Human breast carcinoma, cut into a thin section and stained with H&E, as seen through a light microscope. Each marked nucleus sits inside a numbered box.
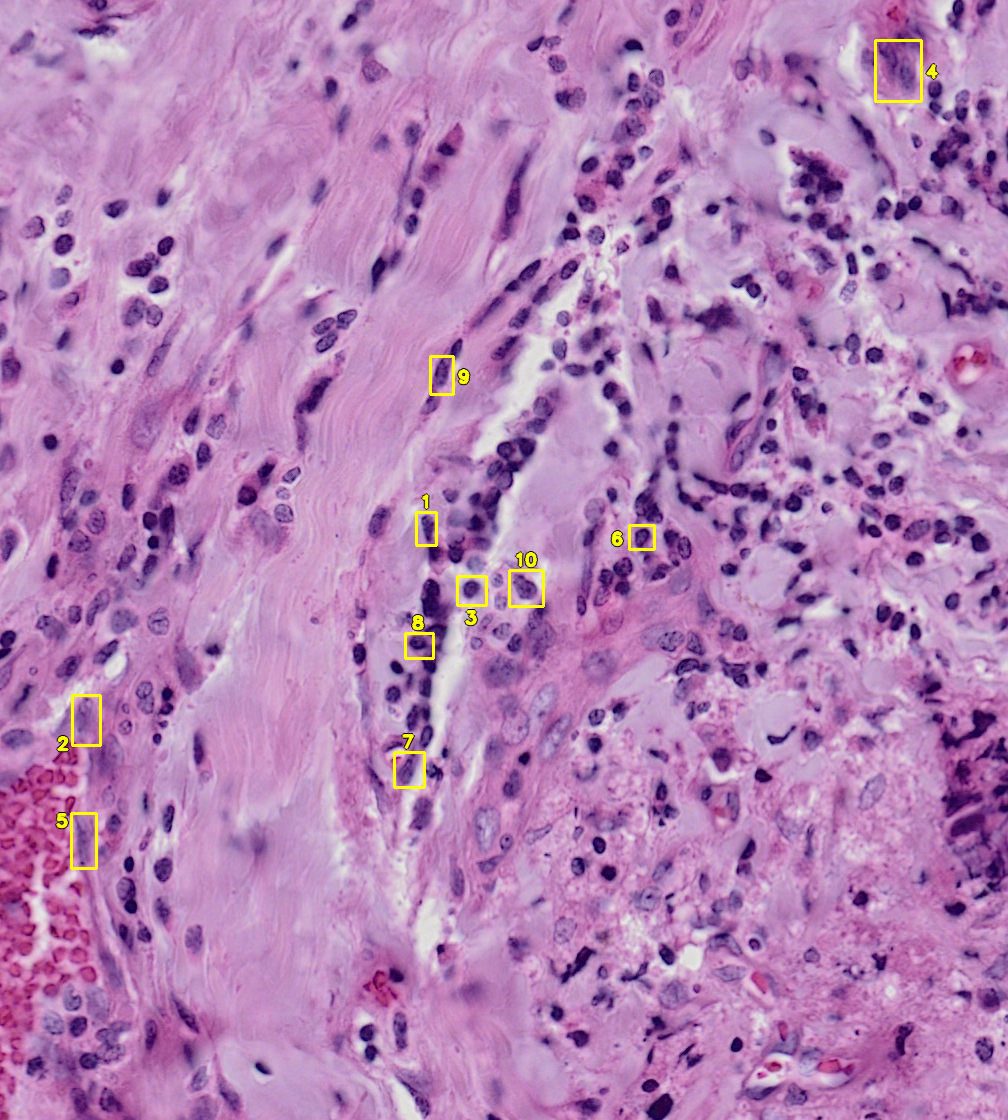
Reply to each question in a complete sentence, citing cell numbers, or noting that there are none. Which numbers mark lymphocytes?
Each of the cells numbered 1, 3, 6, 8, 9 and 10 is among the lymphocytes.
